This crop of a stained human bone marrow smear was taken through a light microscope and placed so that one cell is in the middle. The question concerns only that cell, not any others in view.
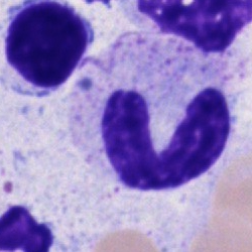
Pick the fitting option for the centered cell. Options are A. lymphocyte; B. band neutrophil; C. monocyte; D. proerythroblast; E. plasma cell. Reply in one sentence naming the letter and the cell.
The cell at the heart of the crop is a band neutrophil, so choose option B.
